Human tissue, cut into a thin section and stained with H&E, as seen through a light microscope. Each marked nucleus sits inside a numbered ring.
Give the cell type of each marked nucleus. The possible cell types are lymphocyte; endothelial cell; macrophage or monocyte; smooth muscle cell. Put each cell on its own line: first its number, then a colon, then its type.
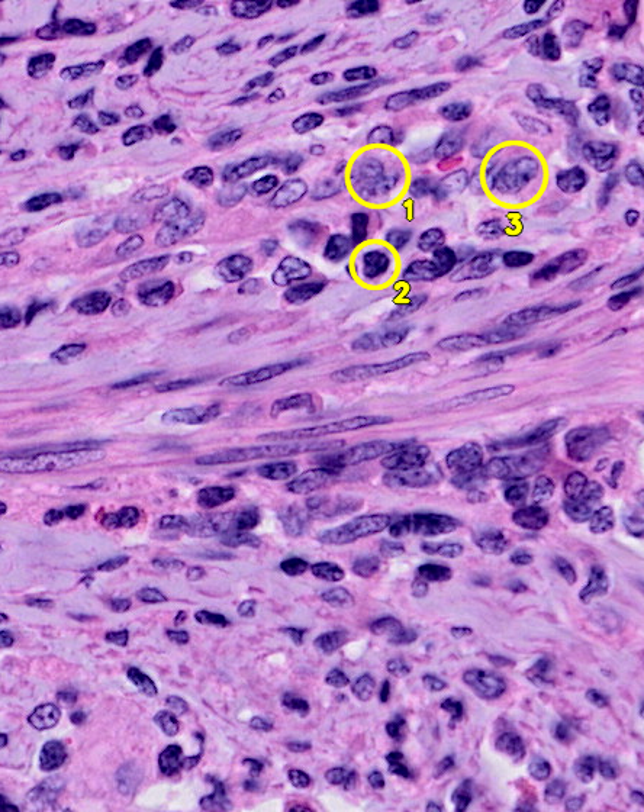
1: endothelial cell
2: lymphocyte
3: endothelial cell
